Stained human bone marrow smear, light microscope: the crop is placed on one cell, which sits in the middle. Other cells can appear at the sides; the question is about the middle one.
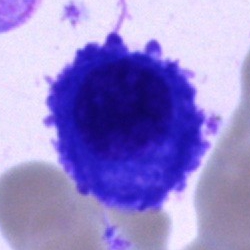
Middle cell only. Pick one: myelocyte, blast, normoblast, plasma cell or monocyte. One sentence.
The cell the crop is centered on is a plasma cell.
